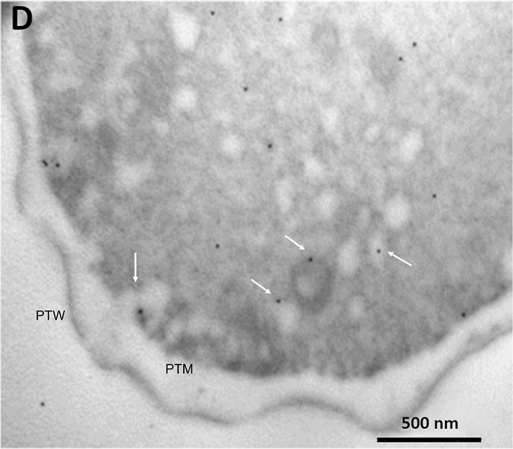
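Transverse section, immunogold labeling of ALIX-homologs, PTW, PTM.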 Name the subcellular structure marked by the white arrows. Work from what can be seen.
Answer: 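Small dark gold particles lie by the arrow tips. The cytoplasm holds many small pale round profiles. A thick pale wall surrounds the cell edge.
Vesicles.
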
